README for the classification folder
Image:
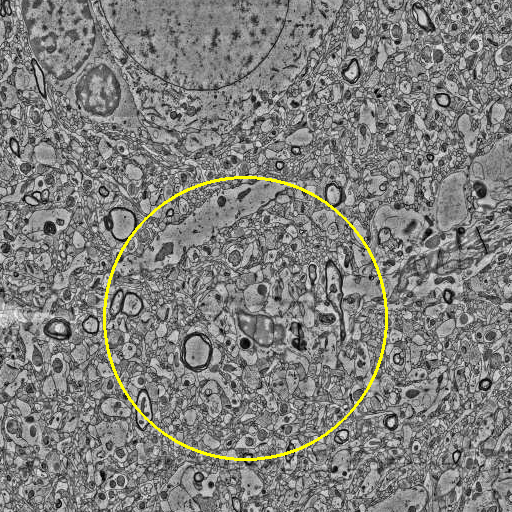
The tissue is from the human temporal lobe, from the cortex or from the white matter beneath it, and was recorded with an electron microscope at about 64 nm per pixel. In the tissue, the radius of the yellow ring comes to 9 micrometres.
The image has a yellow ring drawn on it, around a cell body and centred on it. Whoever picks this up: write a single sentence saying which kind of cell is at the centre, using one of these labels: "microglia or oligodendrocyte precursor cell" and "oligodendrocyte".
This cell body is that of a microglial cell or oligodendrocyte precursor cell.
